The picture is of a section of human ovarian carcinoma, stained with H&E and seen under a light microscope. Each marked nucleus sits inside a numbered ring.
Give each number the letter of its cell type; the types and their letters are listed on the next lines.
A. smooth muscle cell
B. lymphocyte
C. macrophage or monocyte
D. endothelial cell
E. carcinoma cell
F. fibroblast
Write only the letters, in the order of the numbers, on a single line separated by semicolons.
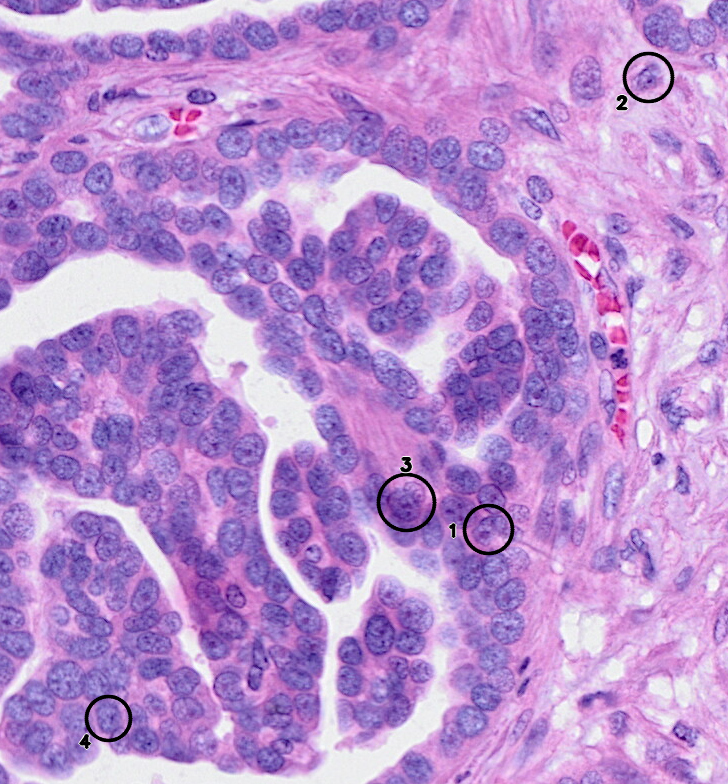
E; F; E; E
